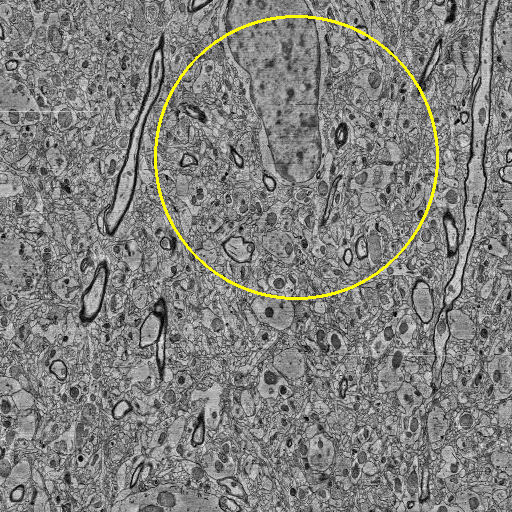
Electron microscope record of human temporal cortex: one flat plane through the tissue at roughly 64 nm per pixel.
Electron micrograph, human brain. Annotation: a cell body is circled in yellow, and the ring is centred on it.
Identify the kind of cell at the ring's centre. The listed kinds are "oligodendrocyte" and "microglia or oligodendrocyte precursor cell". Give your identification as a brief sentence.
The circled cell body is that of a microglial cell or oligodendrocyte precursor cell.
